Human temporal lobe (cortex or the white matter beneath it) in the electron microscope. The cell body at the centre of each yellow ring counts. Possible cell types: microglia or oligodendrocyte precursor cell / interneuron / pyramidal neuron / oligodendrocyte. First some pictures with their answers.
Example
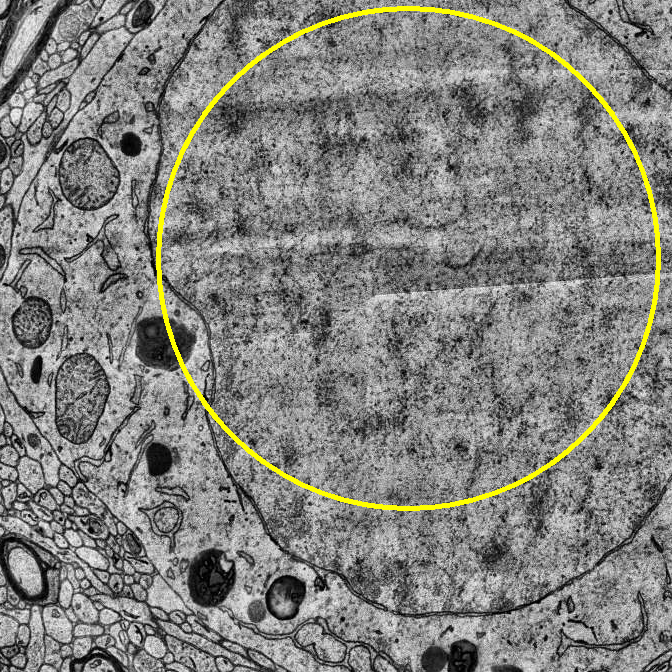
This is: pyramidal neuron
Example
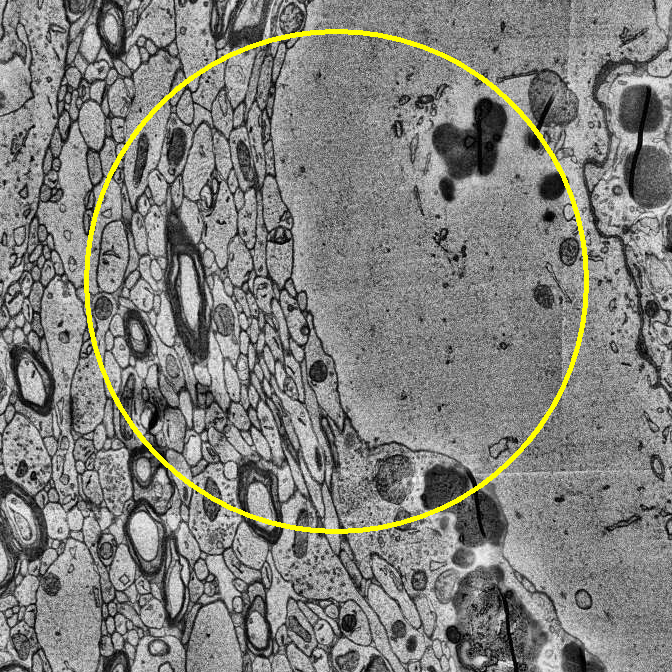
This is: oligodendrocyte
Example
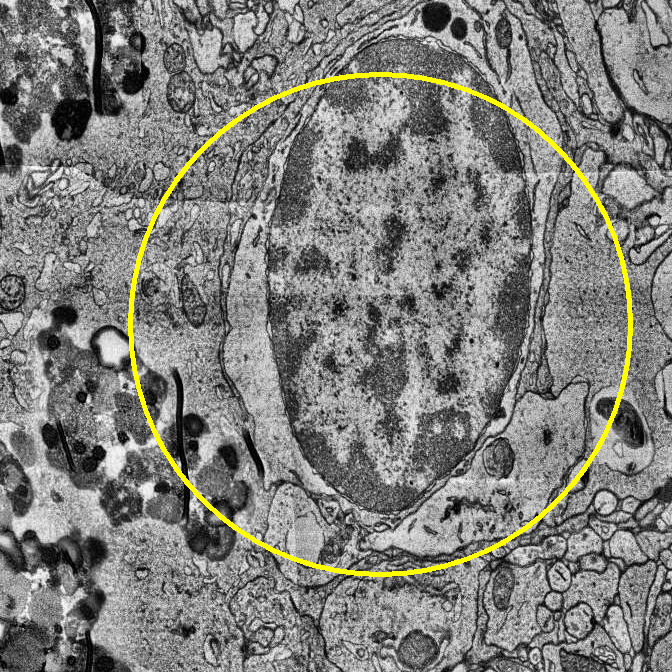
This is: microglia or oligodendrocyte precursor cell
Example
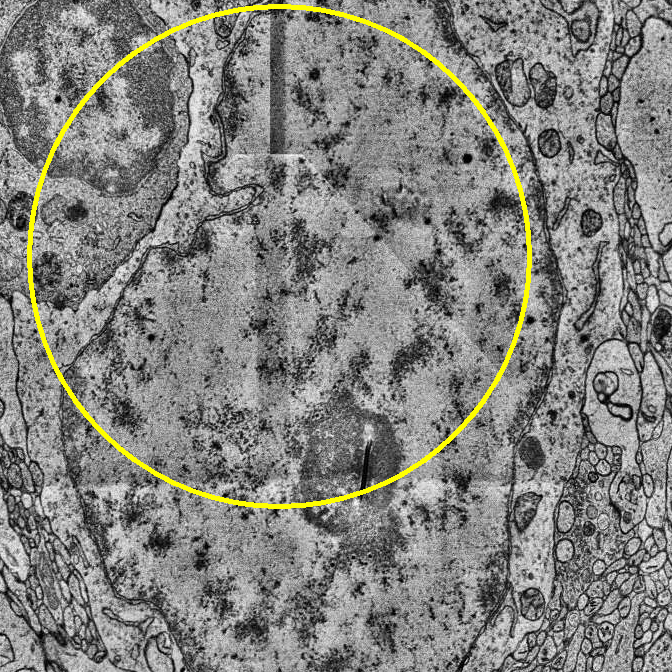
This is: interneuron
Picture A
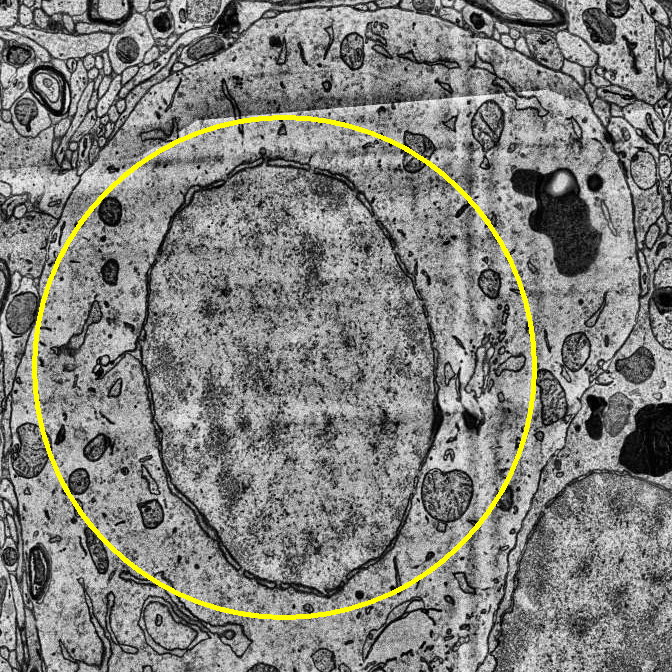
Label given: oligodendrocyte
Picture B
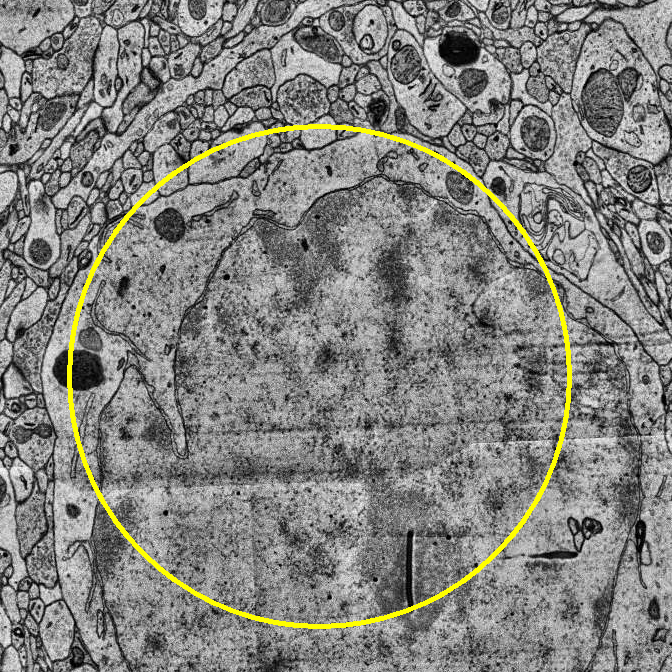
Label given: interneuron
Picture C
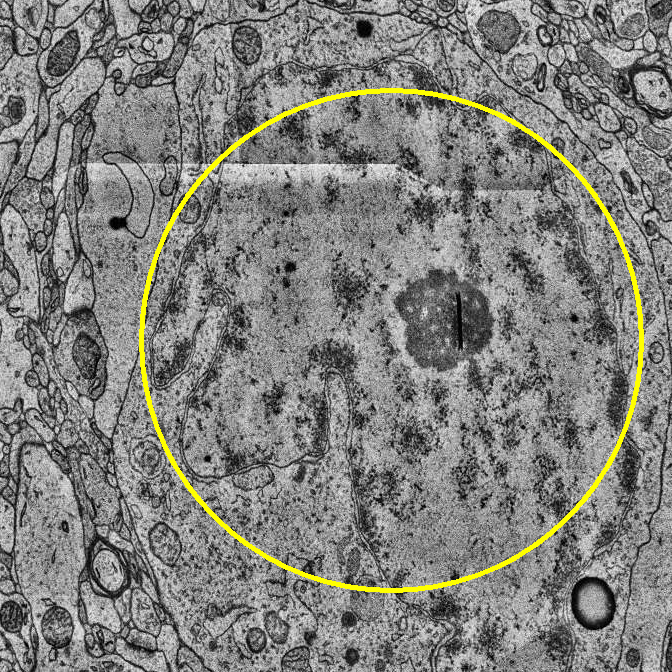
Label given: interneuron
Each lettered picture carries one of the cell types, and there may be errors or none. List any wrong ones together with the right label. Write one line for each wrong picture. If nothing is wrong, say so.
A should be pyramidal neuron, not oligodendrocyte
